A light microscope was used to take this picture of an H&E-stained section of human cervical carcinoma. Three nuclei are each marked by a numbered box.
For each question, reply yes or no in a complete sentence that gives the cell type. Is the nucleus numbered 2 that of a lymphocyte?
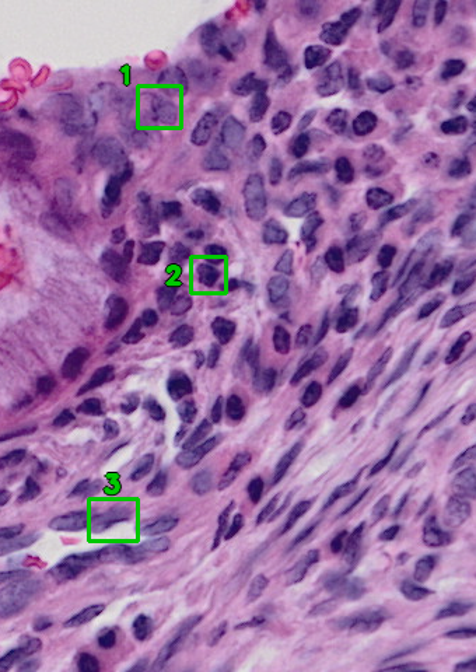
Yes, of the numbered cells, number 2 is a lymphocyte.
